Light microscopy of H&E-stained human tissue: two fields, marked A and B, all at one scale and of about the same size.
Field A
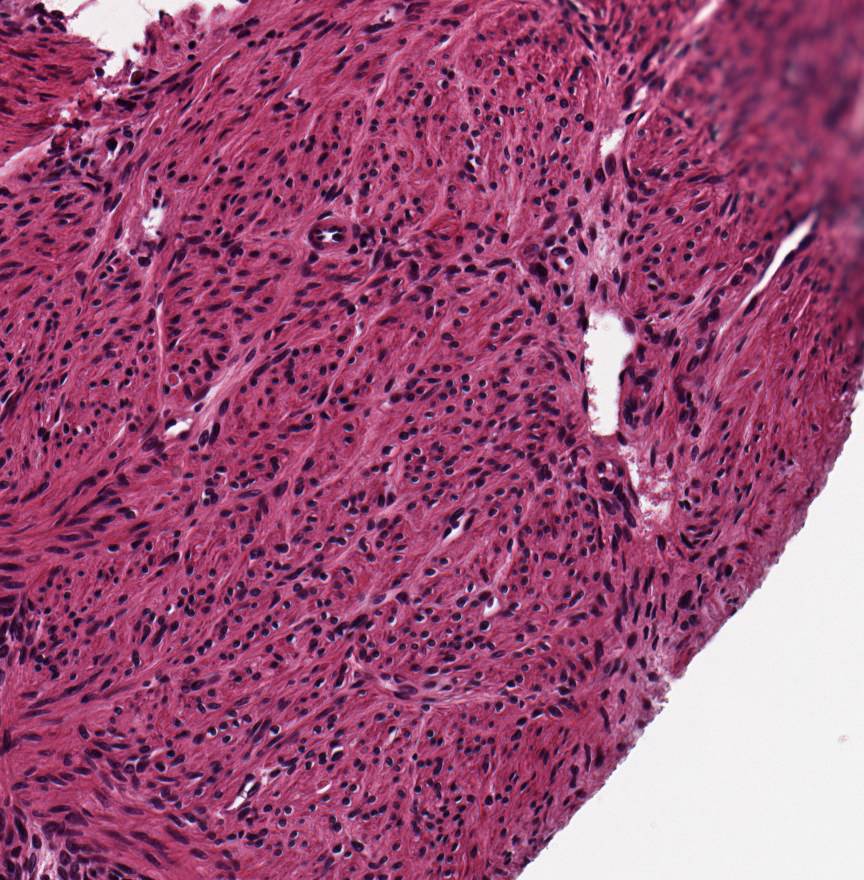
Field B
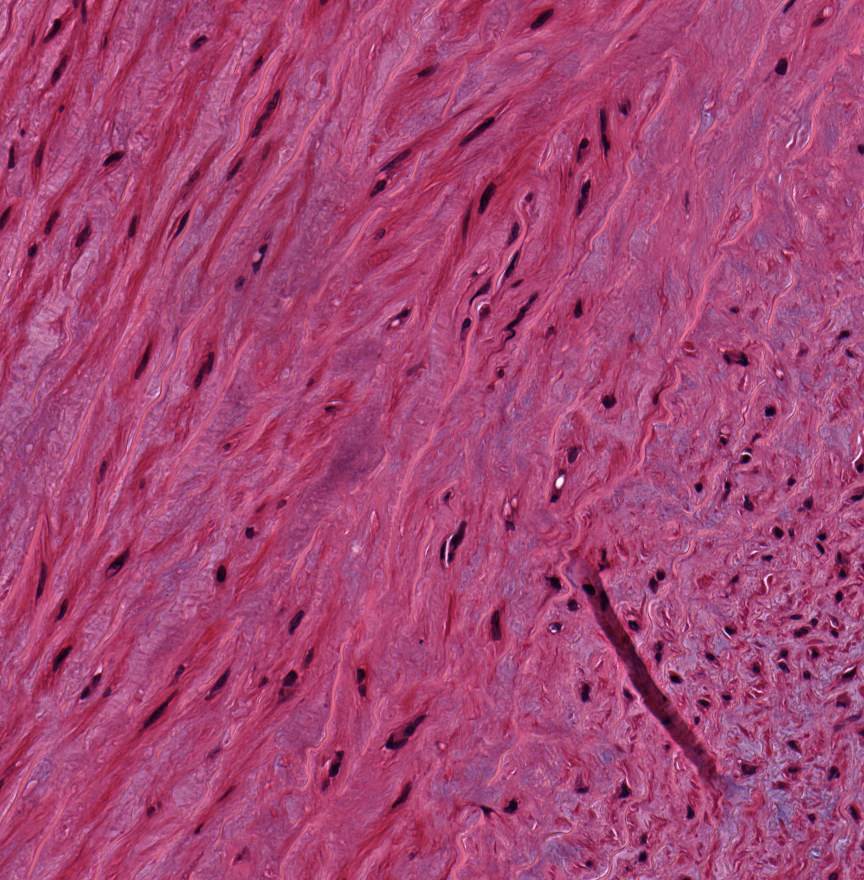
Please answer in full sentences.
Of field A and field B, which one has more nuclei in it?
It is field A that has more nuclei in it.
